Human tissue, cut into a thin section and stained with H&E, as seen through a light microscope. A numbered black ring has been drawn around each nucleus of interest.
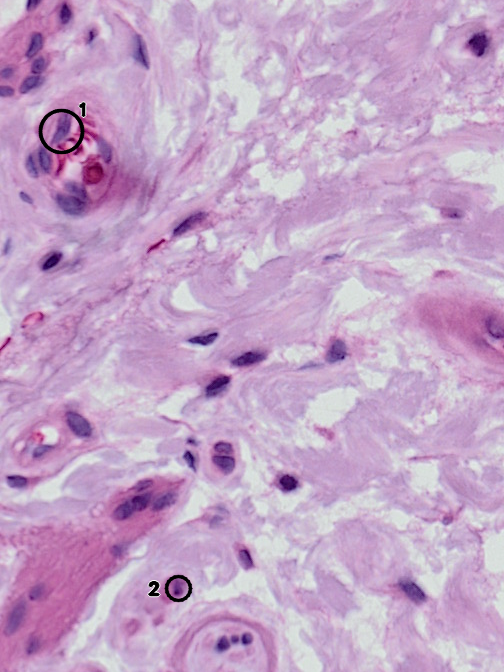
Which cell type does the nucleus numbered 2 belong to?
smooth muscle cell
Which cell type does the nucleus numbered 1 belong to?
endothelial cell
